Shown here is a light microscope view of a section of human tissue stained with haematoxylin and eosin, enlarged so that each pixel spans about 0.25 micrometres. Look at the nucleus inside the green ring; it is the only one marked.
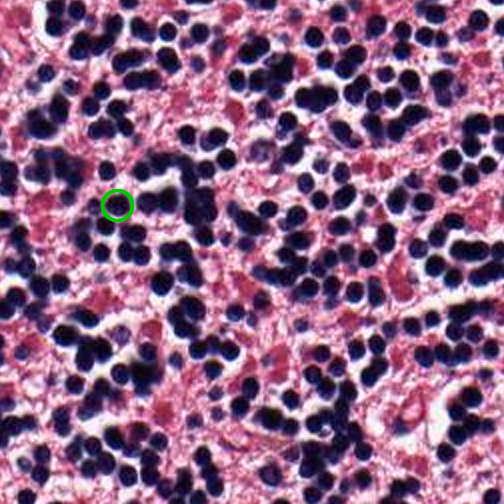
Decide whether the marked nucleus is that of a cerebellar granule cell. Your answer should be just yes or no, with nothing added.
yes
